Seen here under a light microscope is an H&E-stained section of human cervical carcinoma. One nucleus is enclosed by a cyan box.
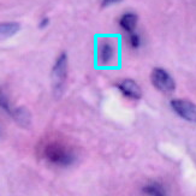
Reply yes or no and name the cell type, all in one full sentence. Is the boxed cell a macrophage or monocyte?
No, not quite: the boxed cell is a fibroblast rather than a macrophage or monocyte.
